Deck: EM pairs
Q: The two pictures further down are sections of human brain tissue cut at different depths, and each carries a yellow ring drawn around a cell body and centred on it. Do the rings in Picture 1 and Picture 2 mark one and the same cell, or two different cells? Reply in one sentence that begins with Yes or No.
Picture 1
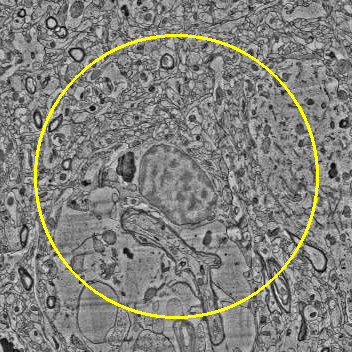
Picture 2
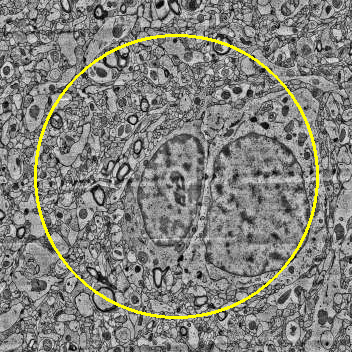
No, the two rings enclose two cells that are not the same.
